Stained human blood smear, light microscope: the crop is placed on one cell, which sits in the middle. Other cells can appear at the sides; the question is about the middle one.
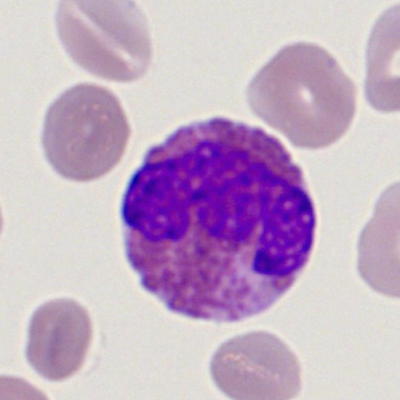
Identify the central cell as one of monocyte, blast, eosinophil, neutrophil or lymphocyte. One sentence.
The cell featured at the centre of this crop is an eosinophil.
